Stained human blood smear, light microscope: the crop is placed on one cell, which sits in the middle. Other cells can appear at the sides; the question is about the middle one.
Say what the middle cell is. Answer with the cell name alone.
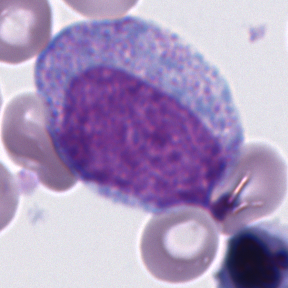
promyelocyte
